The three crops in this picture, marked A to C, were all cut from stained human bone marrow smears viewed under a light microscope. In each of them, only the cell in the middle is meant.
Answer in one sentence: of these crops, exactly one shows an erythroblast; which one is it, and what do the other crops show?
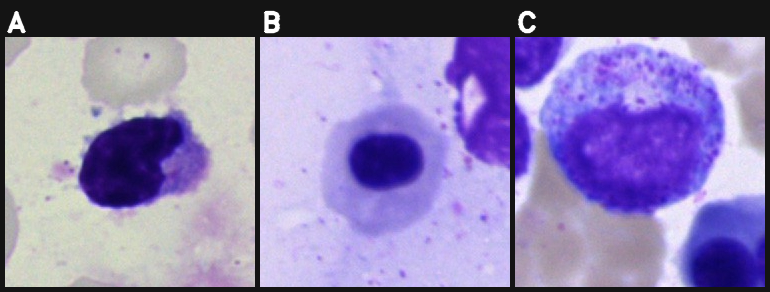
The crop marked B contains an erythroblast, while crop A is a lymphocyte and crop C is a promyelocyte.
